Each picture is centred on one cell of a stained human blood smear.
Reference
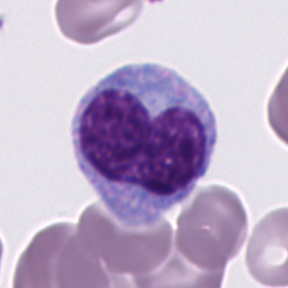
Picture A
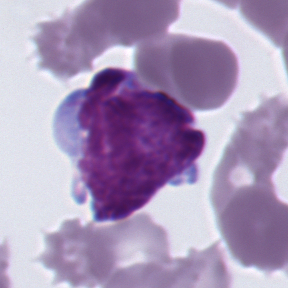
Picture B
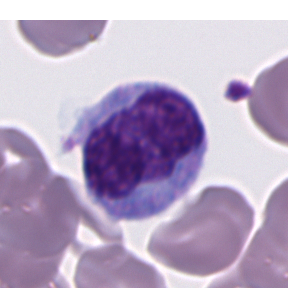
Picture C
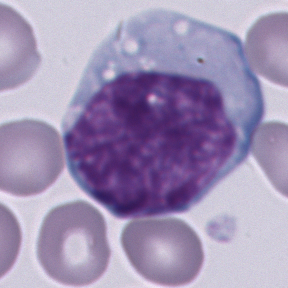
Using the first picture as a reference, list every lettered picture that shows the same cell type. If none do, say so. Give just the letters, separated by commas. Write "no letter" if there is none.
B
